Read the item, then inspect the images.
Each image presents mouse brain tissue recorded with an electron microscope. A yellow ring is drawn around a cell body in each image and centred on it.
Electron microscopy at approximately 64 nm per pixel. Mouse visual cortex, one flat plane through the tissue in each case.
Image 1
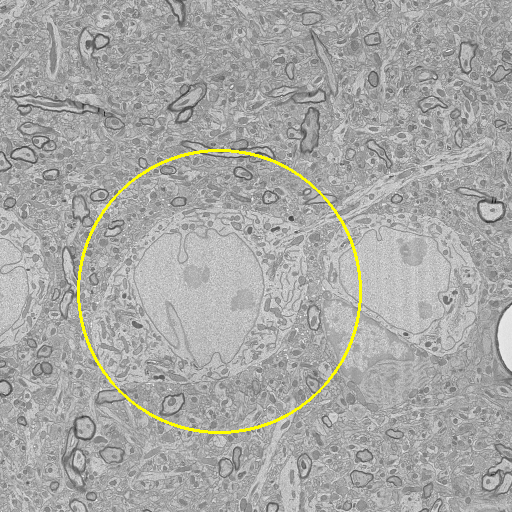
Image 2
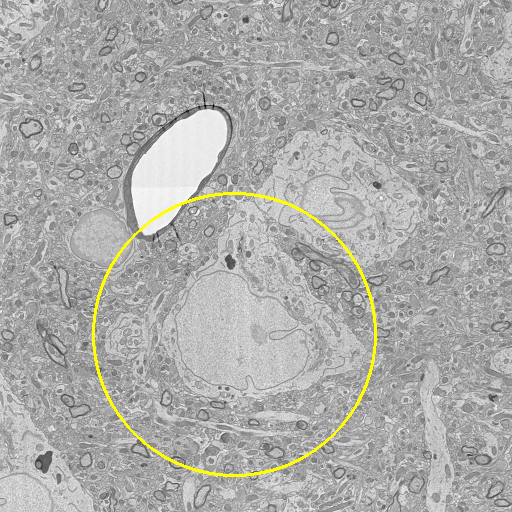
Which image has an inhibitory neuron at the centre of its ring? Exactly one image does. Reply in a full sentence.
The ring in Image 1 is centred on it.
